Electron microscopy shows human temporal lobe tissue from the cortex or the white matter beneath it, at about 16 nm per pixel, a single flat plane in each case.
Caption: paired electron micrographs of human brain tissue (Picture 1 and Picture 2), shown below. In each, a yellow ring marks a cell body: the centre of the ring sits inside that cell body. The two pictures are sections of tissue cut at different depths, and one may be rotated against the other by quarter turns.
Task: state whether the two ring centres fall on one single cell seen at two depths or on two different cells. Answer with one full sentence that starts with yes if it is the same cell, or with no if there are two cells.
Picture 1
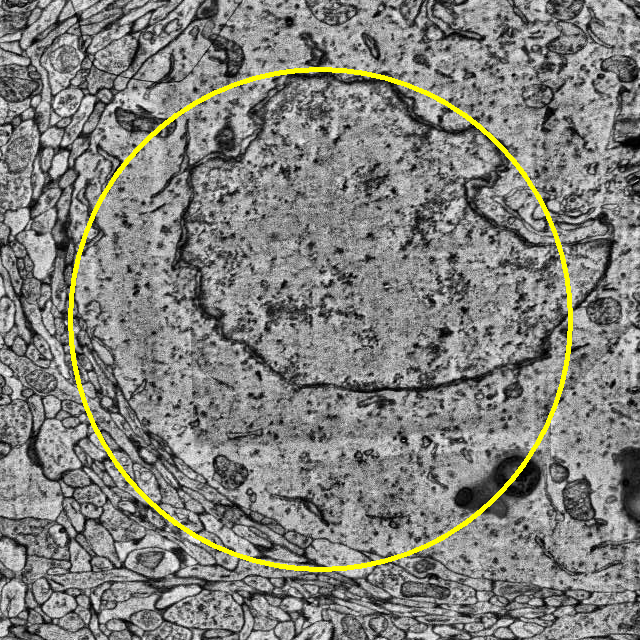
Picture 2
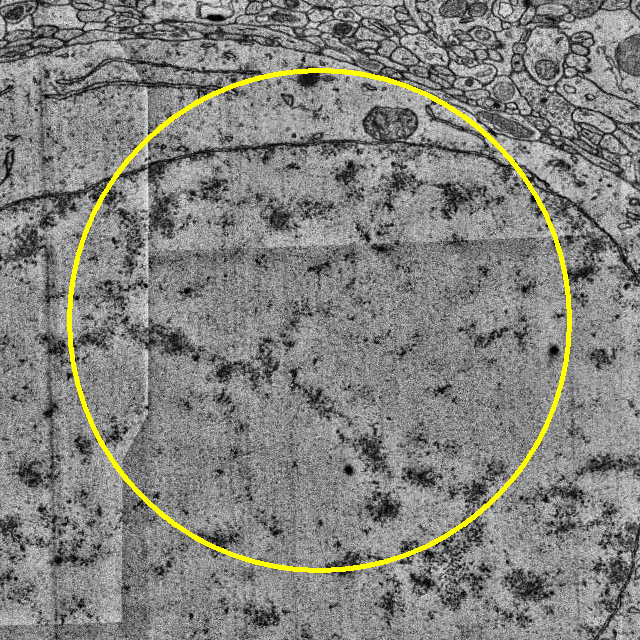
Yes, the two yellow circles hold the same cell.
